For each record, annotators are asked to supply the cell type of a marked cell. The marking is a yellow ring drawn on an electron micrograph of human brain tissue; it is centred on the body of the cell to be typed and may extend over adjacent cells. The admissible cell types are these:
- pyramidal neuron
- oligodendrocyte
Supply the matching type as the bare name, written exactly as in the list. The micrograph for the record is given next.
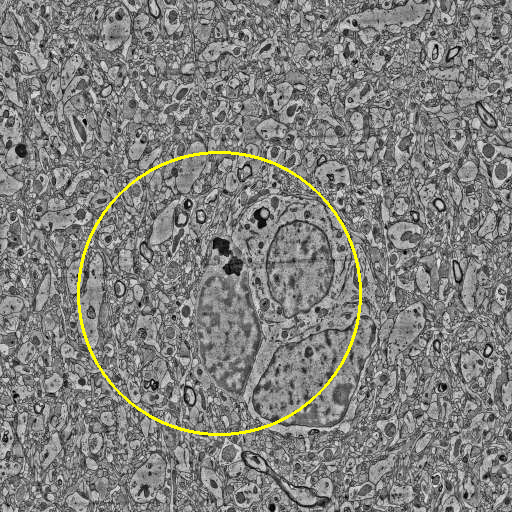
oligodendrocyte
